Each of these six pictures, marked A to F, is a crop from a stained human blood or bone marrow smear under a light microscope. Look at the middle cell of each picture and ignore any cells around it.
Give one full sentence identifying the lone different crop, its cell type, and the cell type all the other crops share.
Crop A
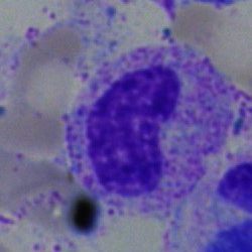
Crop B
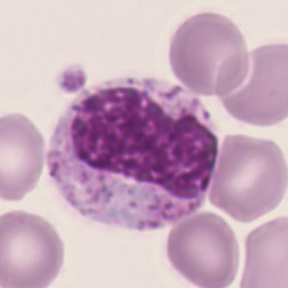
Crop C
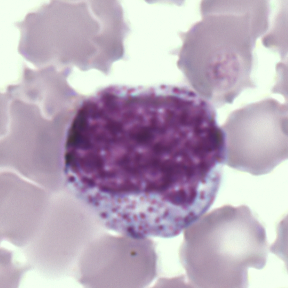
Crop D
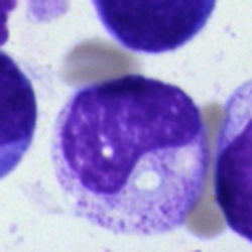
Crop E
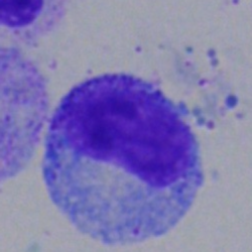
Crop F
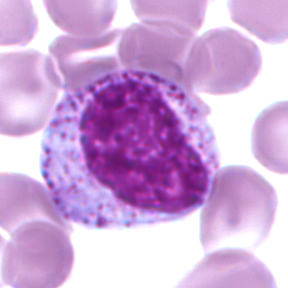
What sets crop F apart is that it is a myelocyte; the others are all metamyelocytes.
